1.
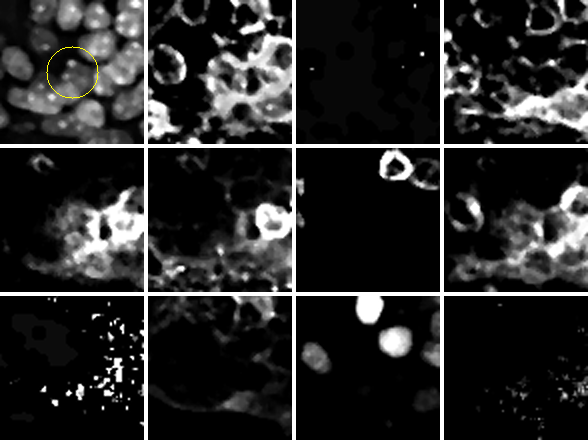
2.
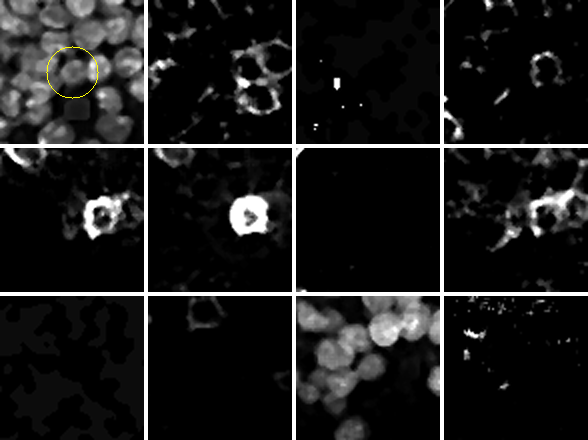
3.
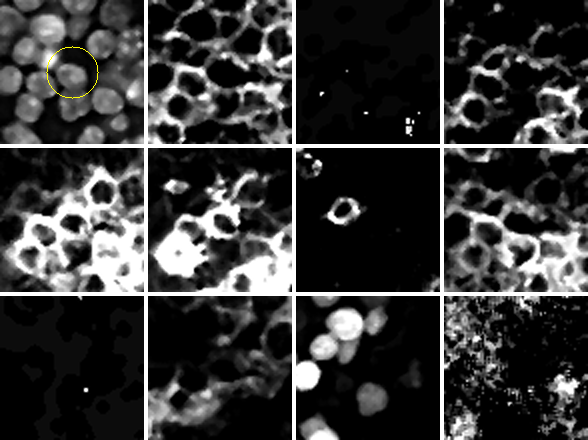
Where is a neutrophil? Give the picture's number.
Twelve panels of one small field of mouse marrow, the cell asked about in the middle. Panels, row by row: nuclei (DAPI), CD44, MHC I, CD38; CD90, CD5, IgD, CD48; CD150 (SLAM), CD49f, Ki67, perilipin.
1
